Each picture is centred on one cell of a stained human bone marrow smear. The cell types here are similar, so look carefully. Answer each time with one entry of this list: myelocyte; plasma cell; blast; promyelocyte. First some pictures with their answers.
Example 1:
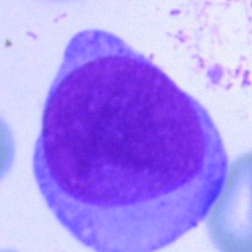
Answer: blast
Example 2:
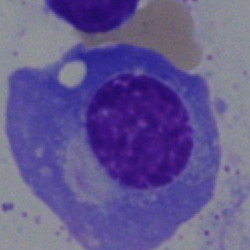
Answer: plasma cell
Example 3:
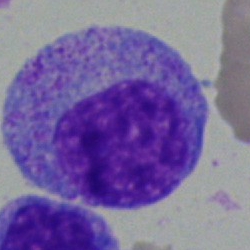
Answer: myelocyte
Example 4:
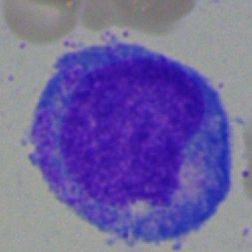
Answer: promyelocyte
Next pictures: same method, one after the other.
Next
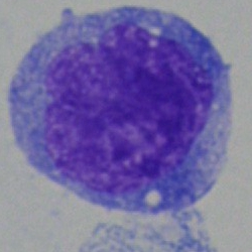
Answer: blast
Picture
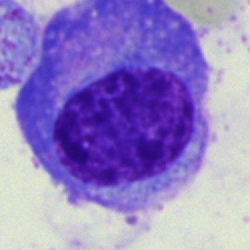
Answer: plasma cell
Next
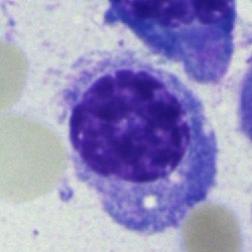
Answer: plasma cell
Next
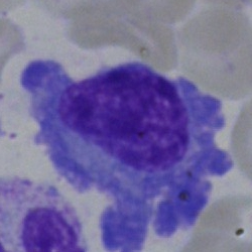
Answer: plasma cell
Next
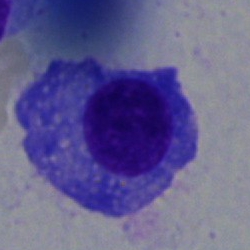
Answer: plasma cell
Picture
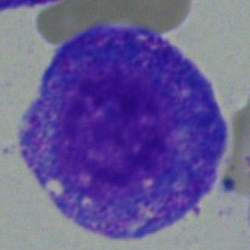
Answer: promyelocyte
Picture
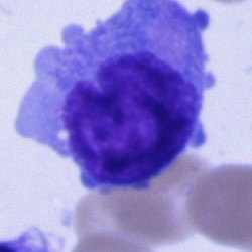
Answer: blast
